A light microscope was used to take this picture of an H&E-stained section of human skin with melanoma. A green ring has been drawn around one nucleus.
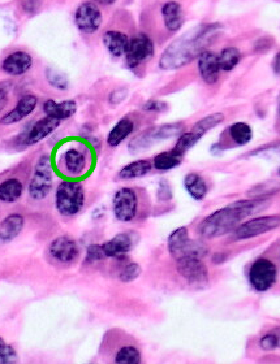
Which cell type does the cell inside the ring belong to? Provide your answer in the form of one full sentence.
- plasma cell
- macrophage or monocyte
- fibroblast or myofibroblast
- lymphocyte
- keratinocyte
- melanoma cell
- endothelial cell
In this field of tissue, the cell inside the ring is a plasma cell.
